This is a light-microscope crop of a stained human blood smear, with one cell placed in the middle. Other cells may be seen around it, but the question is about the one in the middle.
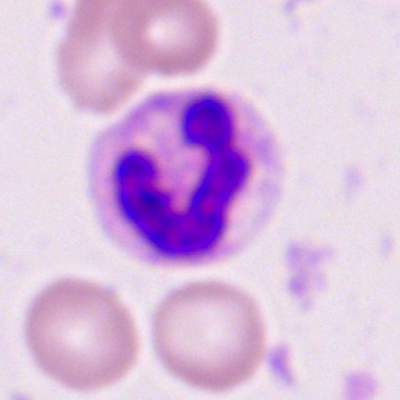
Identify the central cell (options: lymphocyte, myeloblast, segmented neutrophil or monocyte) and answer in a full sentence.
Among the cells in view, the one in the middle is a segmented neutrophil.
